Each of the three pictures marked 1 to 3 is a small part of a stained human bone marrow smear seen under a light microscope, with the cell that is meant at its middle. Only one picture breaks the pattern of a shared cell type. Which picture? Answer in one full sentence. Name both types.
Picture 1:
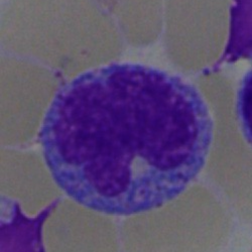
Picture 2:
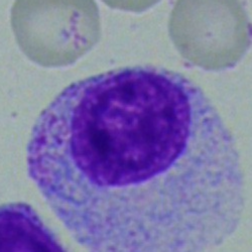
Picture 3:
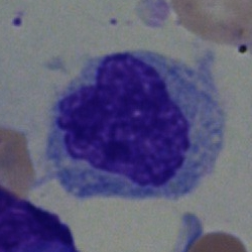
Picture 2 is the odd one out: it shows a myelocyte, while the others show monocytes.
